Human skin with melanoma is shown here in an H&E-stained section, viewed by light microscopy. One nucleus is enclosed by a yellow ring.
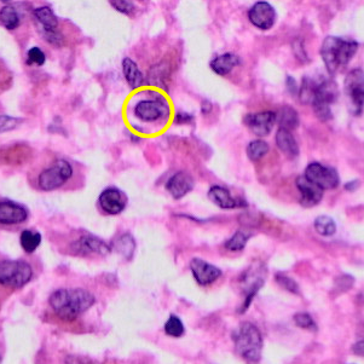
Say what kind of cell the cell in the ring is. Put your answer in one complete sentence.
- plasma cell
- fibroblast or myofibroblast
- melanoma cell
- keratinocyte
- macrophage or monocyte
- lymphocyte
In this section of tissue, the cell in the ring is a macrophage or monocyte.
